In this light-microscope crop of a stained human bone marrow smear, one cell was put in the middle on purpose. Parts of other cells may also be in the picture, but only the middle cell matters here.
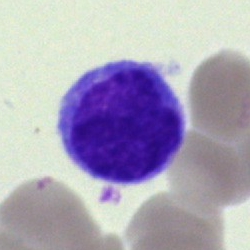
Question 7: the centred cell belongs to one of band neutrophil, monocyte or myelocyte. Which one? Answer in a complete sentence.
The cell under consideration, at the middle of the crop, is a monocyte.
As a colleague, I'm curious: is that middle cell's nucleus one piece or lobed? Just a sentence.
What stands out is a nucleus forming one compact round, oval or kidney-shaped mass.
